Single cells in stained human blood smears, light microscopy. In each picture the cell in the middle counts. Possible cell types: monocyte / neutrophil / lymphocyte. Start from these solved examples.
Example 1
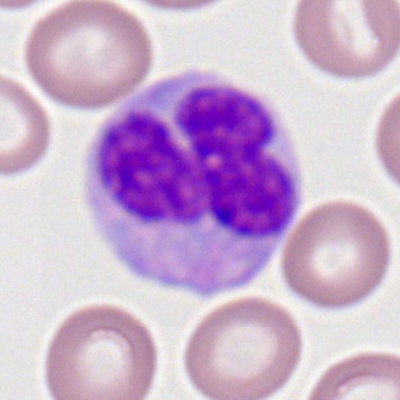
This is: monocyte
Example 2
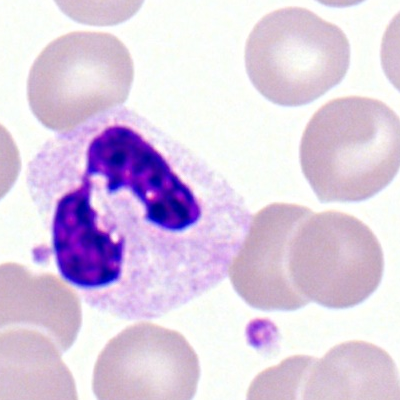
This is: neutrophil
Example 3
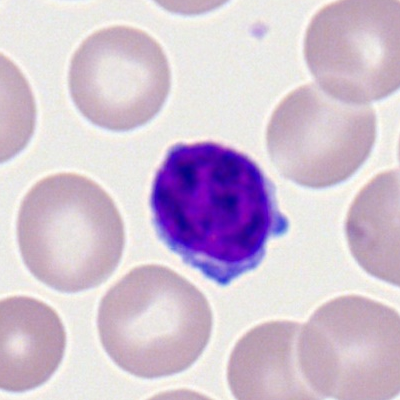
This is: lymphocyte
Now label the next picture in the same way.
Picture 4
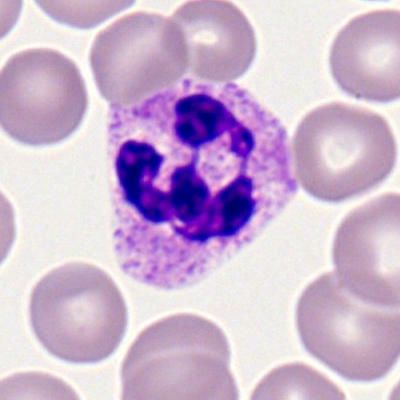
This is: neutrophil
